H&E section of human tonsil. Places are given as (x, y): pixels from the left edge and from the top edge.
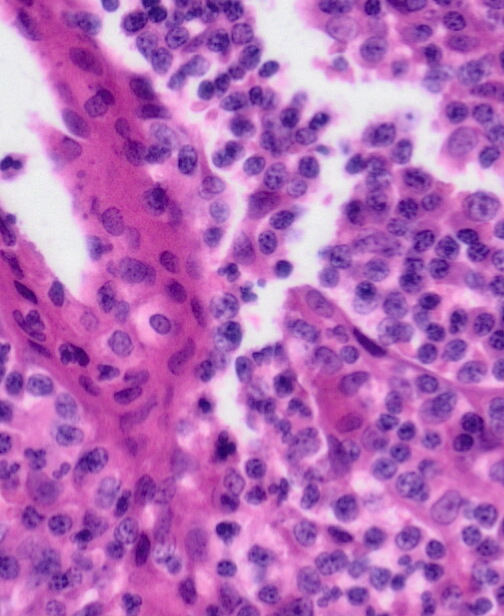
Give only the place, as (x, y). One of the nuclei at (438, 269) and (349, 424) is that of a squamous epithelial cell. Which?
(349, 424)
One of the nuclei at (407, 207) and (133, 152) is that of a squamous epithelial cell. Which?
(133, 152)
